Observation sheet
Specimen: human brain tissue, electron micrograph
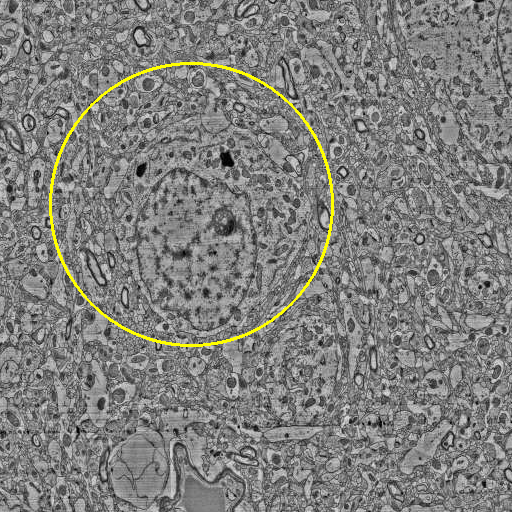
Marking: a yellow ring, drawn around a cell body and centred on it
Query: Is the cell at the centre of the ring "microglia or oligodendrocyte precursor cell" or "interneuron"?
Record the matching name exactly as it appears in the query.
interneuron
